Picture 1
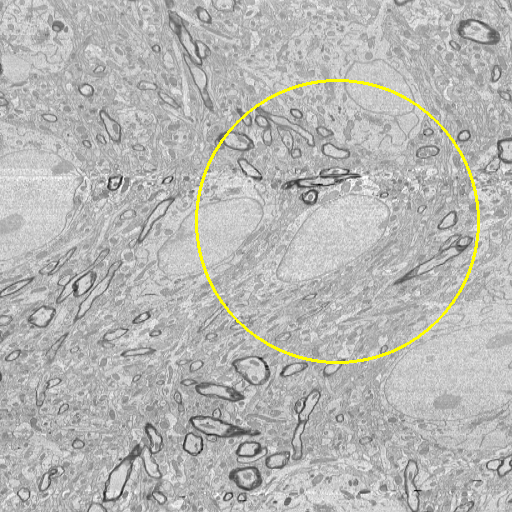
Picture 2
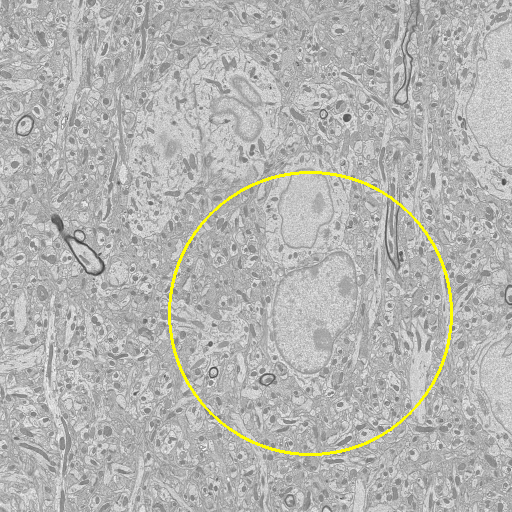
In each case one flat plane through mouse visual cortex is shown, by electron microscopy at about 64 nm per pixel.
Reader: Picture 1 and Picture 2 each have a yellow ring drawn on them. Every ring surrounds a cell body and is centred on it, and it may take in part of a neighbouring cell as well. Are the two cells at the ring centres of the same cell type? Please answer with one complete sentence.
Yes, both cells are of the same cell type.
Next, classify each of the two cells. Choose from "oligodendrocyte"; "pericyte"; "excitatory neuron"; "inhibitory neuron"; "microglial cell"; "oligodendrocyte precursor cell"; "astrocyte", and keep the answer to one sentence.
In the first picture and in the second, the ring is centred on an astrocyte.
